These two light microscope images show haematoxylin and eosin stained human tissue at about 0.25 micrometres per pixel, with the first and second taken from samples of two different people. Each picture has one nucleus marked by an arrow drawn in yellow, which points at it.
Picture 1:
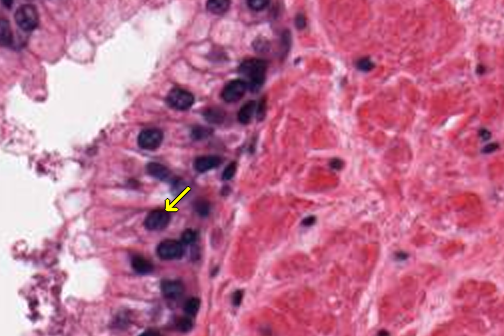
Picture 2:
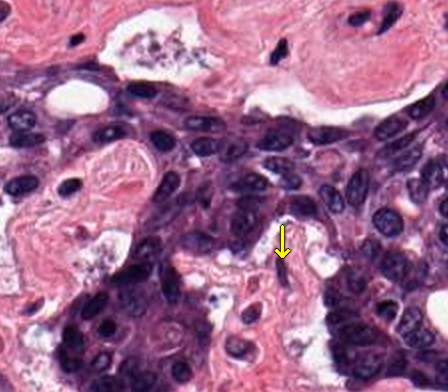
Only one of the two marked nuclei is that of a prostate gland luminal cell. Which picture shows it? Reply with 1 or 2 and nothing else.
1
